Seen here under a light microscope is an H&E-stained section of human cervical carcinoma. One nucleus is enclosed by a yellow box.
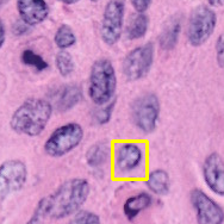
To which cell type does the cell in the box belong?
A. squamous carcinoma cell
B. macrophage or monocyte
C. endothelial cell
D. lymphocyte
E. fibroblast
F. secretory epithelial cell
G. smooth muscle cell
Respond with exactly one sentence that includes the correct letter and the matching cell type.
Option A names it right: the cell in the box is a squamous carcinoma cell.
